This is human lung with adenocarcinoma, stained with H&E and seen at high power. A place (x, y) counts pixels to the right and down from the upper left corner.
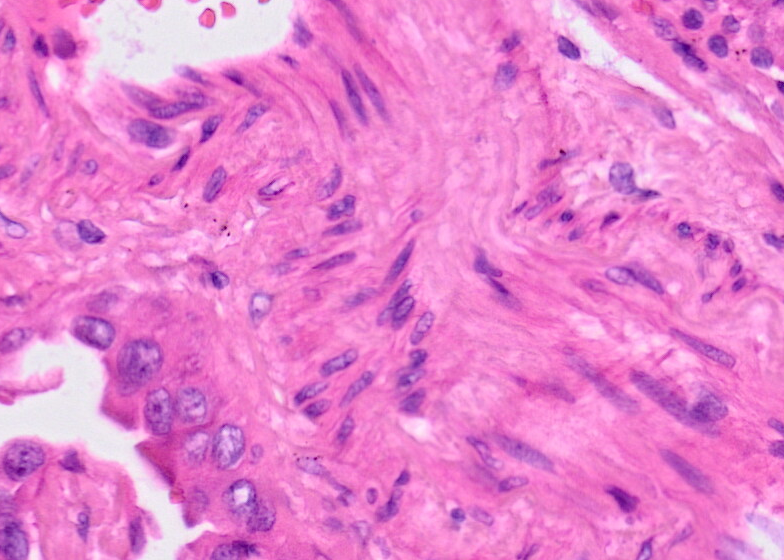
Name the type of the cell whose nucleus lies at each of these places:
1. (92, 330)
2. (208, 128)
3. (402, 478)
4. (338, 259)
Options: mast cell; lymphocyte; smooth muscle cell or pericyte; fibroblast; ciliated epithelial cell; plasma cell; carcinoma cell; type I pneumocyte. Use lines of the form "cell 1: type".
cell 1: carcinoma cell
cell 2: smooth muscle cell or pericyte
cell 3: smooth muscle cell or pericyte
cell 4: smooth muscle cell or pericyte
